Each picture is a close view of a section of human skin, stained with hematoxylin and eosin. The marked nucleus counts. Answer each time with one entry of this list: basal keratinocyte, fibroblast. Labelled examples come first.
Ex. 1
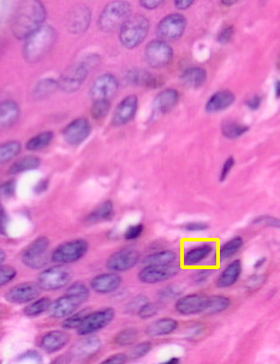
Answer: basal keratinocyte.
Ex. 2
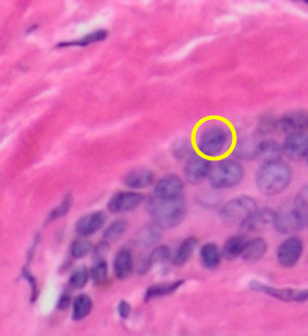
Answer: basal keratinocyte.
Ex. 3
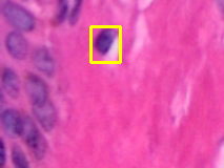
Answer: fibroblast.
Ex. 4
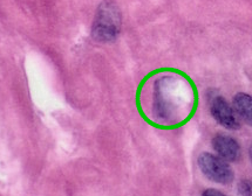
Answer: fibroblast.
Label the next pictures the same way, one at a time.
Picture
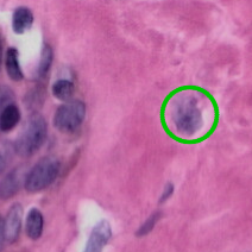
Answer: fibroblast.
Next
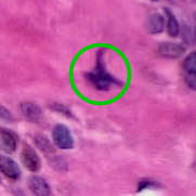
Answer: fibroblast.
